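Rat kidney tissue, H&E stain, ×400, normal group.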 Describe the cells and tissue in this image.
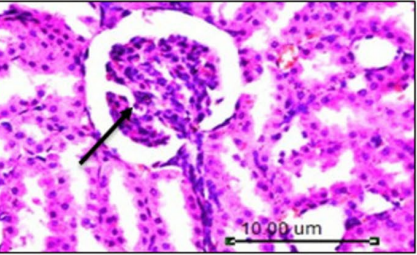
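This is renal cortex with a glomerulus at the centre surrounded by tubules. The surrounding tubules are cut both across and lengthwise and are lined by cuboidal cells with pink cytoplasm and round purple nuclei. The tubular lumina are open and clear. An arrow points into the glomerular tuft.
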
